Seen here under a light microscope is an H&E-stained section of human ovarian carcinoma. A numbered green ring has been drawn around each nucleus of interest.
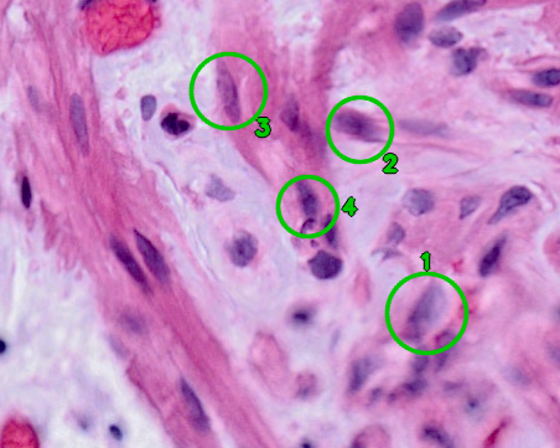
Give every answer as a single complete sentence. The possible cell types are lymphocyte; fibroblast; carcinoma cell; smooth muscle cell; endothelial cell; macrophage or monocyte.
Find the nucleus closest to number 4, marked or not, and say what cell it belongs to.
Closest to number 4 lies the nucleus of a smooth muscle cell.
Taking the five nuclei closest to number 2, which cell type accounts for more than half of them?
Smooth muscle cells account for more than half of the five nuclei nearest to number 2.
